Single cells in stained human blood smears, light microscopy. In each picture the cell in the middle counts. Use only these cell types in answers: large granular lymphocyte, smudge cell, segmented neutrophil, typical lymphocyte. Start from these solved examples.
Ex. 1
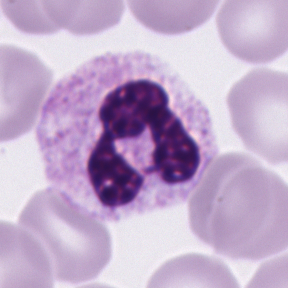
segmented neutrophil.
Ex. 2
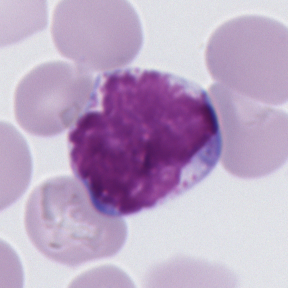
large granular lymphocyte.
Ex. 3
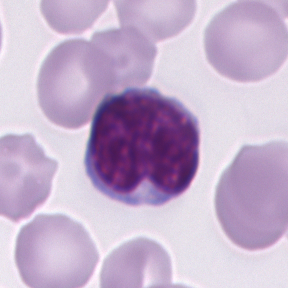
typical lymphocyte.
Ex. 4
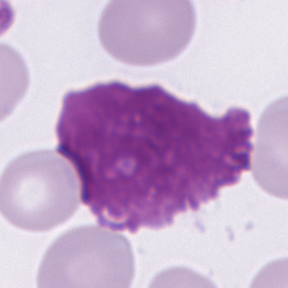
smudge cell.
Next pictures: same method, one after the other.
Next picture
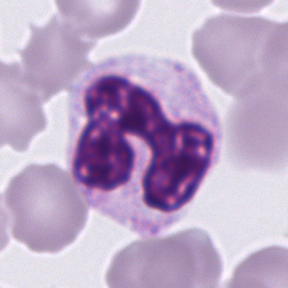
segmented neutrophil.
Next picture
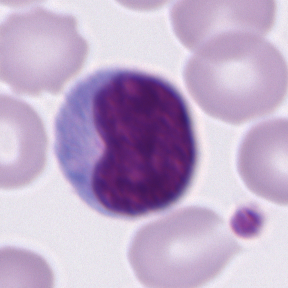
typical lymphocyte.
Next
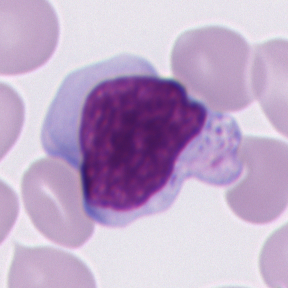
large granular lymphocyte.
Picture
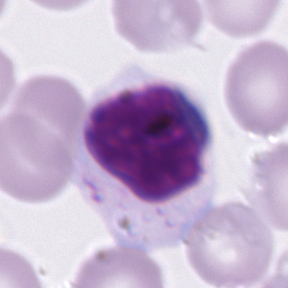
large granular lymphocyte.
